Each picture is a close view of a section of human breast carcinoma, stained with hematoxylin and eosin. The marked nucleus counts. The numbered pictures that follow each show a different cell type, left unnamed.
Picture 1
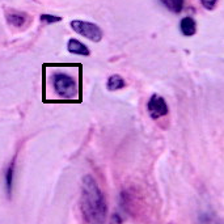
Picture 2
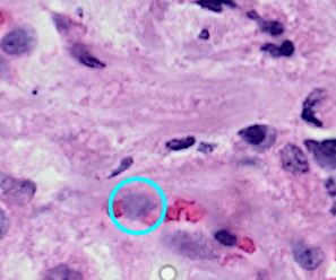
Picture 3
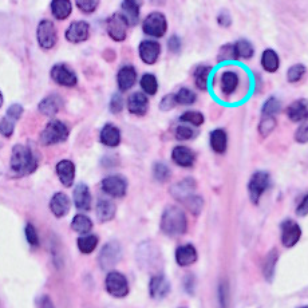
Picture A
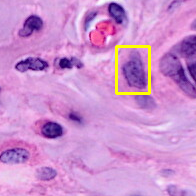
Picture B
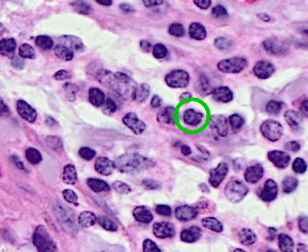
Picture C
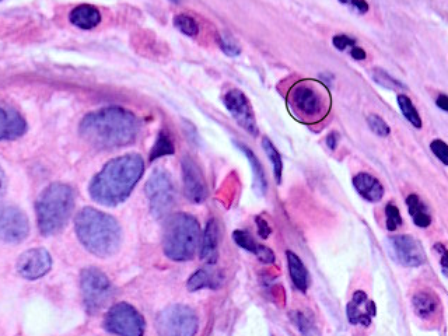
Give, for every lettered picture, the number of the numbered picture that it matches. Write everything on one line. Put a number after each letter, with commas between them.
A 2, B 3, C 1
